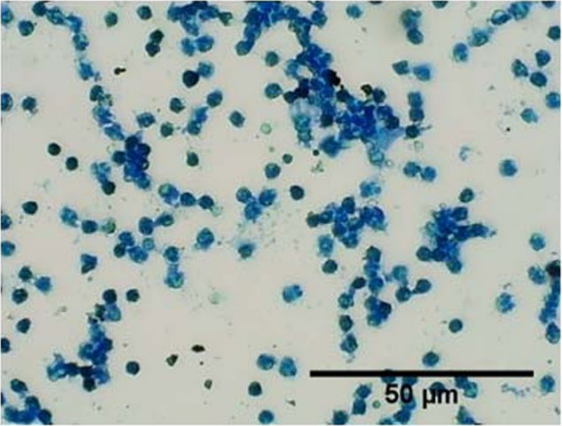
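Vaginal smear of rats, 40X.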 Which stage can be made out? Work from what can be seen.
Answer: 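The smear consists almost entirely of small round leukocytes. Epithelial cells are absent.
Conclusion: Diestrous phase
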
